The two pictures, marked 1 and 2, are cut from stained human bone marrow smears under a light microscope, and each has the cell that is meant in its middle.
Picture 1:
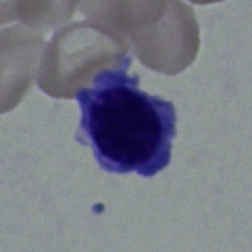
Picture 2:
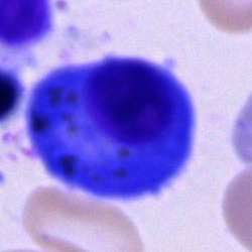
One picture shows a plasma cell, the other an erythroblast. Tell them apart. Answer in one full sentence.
In picture 1 the cell is an erythroblast; in picture 2, a plasma cell.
